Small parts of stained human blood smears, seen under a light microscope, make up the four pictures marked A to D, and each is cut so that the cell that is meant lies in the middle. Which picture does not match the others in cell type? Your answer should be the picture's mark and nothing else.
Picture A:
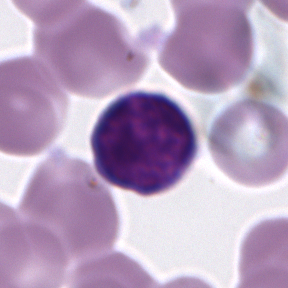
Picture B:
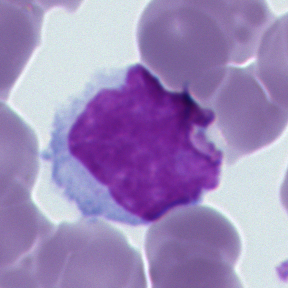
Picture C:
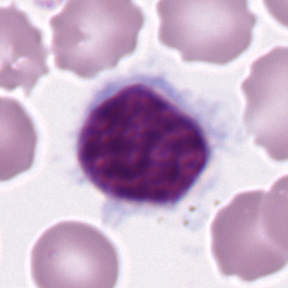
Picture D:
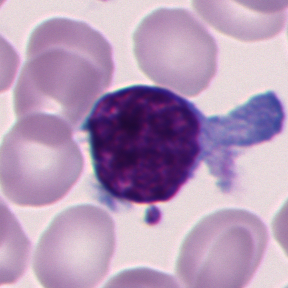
C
